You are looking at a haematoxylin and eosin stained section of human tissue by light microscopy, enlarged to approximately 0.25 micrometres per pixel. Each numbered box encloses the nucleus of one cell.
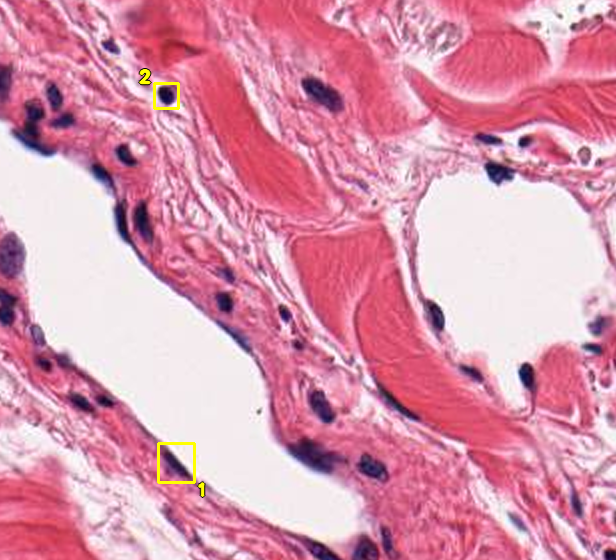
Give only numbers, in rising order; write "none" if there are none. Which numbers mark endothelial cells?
1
